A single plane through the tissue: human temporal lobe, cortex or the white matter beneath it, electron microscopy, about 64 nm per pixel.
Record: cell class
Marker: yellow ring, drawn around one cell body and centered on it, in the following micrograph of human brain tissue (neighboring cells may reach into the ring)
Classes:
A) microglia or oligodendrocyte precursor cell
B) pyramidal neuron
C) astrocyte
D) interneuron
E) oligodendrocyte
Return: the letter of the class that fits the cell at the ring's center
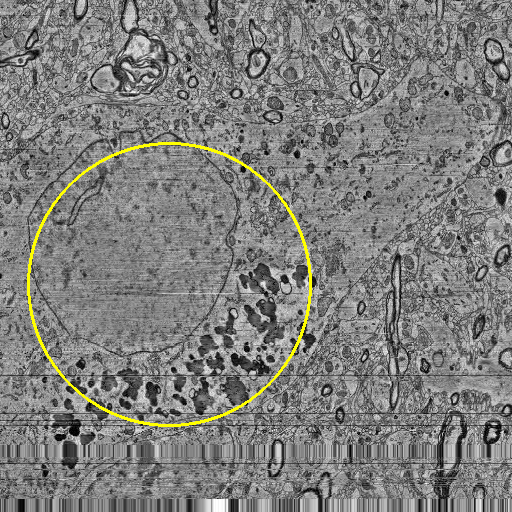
B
